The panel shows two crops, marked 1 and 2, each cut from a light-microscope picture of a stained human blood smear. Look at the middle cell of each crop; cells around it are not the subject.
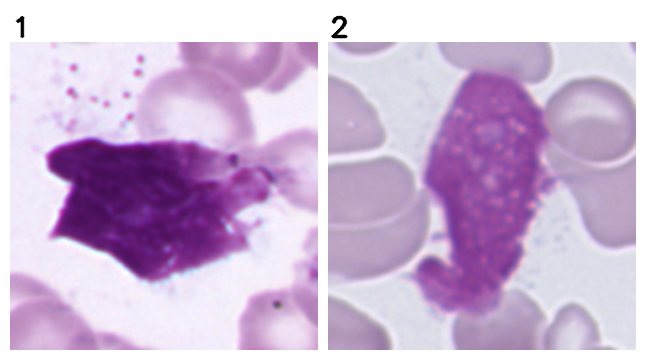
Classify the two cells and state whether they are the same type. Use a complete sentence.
Yes, both crops alike show smudge cells at the centre.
